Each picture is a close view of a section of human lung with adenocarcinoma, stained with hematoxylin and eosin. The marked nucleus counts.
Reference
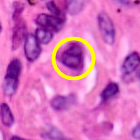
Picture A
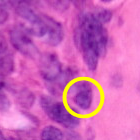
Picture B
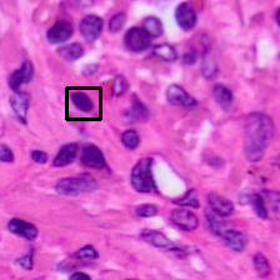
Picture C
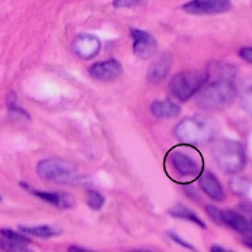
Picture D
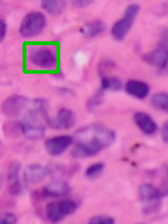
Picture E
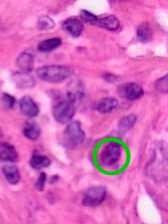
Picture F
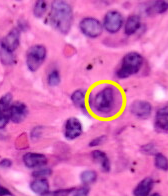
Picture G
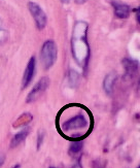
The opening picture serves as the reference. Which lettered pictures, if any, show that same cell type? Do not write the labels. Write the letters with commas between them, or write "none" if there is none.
B, D, E, F, G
